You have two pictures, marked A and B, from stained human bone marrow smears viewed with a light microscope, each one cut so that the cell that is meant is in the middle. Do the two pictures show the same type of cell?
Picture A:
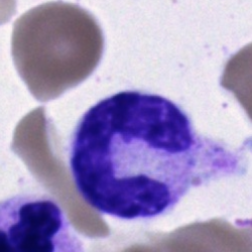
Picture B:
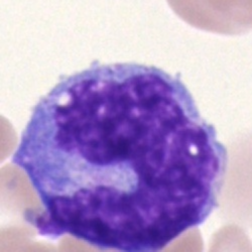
no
